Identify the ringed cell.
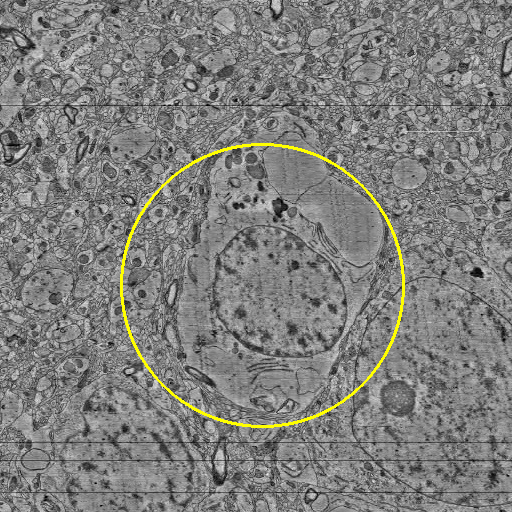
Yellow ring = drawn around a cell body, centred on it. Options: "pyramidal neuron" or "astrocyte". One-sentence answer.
What the ring is centred on is an astrocyte.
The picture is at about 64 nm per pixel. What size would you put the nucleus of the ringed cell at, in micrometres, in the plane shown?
The nucleus appears roughly 9 by 8 micrometres in this plane.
